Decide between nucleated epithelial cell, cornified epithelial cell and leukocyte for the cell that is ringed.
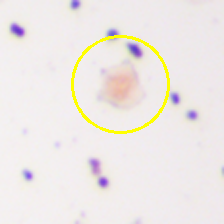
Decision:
I take the ringed cell for a cornified epithelial cell.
